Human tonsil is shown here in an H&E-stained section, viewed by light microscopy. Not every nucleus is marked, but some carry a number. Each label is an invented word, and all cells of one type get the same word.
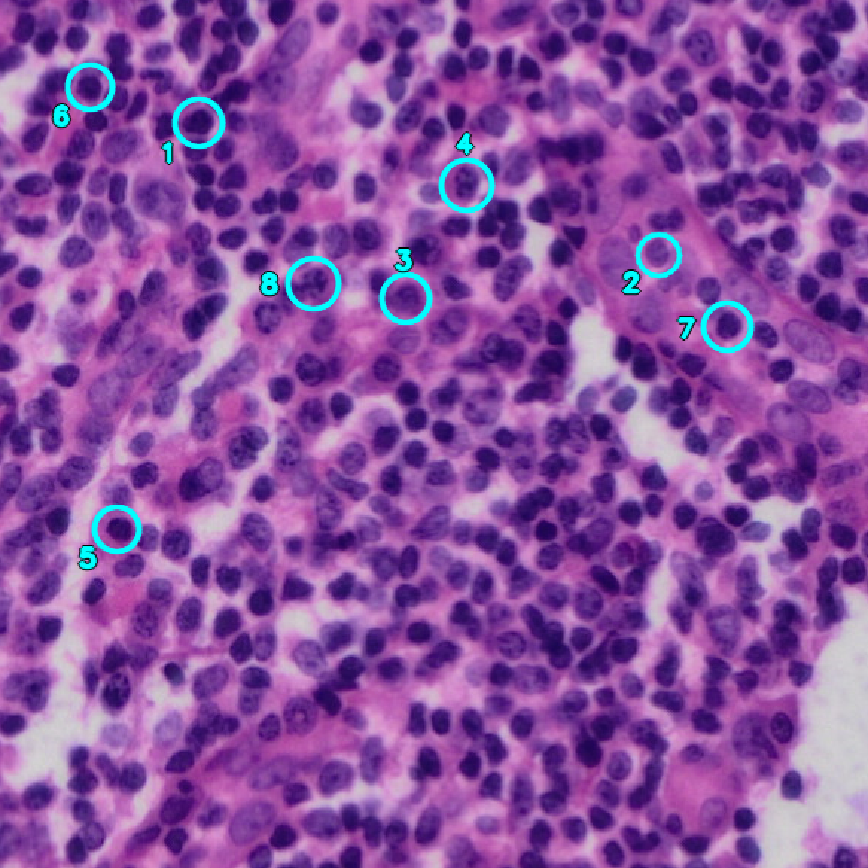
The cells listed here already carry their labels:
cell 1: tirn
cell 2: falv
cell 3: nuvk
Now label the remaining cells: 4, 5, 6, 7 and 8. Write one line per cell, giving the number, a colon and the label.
4: nuvk
5: nuvk
6: tirn
7: falv
8: nuvk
